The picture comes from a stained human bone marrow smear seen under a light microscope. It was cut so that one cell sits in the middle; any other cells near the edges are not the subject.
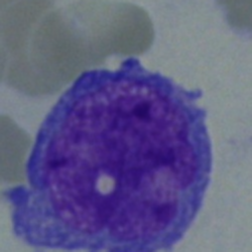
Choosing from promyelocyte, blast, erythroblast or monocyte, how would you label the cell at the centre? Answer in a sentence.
In short, the cell at the center is a blast.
